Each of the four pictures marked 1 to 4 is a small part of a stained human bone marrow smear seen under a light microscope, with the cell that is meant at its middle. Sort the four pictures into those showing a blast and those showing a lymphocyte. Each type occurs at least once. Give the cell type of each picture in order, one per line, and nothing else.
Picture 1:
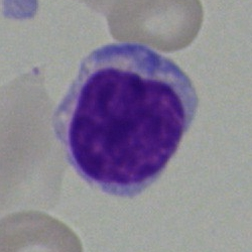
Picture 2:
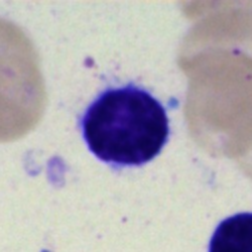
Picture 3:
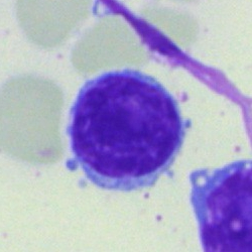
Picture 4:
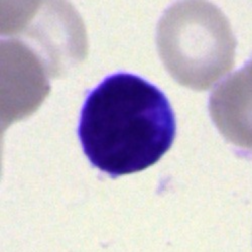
lymphocyte
lymphocyte
lymphocyte
blast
